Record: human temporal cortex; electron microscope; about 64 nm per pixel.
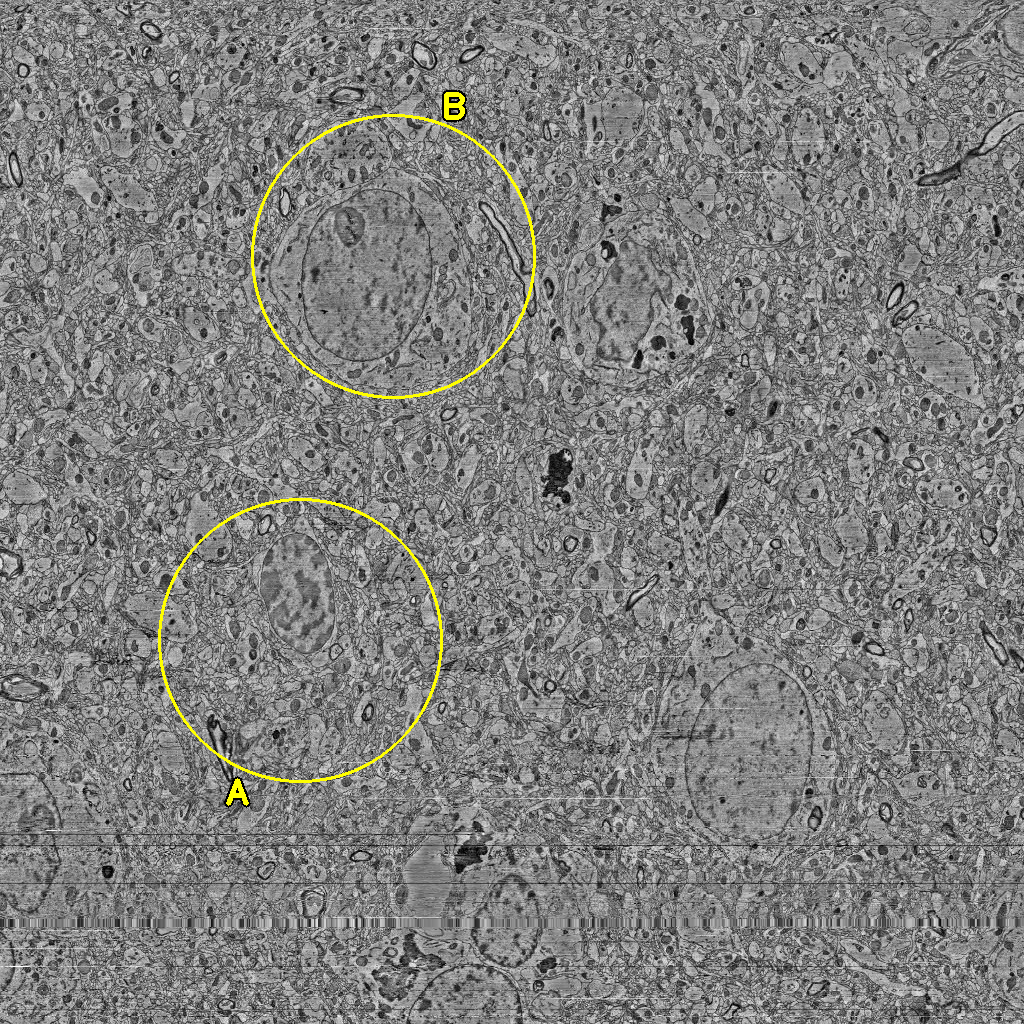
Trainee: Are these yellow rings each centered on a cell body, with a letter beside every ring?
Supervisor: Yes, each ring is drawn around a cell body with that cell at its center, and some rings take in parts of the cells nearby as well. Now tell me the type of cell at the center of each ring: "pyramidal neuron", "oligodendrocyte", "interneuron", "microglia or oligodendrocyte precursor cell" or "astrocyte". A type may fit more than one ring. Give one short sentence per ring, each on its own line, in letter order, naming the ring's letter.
Ring A has a microglial cell or oligodendrocyte precursor cell at its center.
Ring B has a pyramidal neuron at its center.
